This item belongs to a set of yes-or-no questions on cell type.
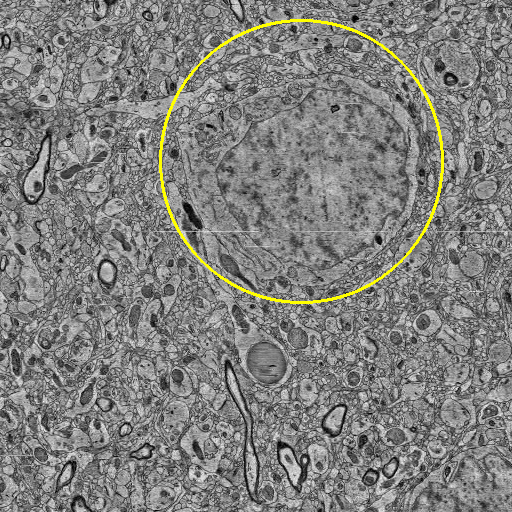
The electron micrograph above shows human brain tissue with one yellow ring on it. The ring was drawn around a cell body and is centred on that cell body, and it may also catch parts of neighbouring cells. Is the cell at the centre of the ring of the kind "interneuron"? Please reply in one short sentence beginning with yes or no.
Yes, that cell is of the named kind.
